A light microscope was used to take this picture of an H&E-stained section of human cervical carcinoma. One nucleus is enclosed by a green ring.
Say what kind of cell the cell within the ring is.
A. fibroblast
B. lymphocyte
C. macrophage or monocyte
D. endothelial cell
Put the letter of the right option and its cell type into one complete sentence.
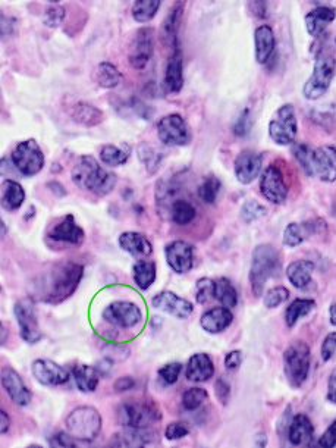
Option B holds, since the cell within the ring is a lymphocyte.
